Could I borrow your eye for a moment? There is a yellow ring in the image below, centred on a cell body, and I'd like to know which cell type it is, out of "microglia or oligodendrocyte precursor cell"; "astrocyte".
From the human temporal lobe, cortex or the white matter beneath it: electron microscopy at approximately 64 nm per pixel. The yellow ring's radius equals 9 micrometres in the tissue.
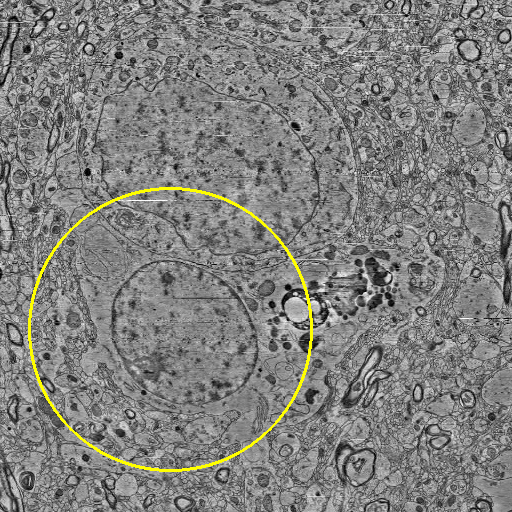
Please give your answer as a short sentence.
The cell body at the centre is that of an astrocyte.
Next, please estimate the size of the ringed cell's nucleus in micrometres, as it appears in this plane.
The nucleus comes to roughly 10 by 9 micrometres in this plane.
